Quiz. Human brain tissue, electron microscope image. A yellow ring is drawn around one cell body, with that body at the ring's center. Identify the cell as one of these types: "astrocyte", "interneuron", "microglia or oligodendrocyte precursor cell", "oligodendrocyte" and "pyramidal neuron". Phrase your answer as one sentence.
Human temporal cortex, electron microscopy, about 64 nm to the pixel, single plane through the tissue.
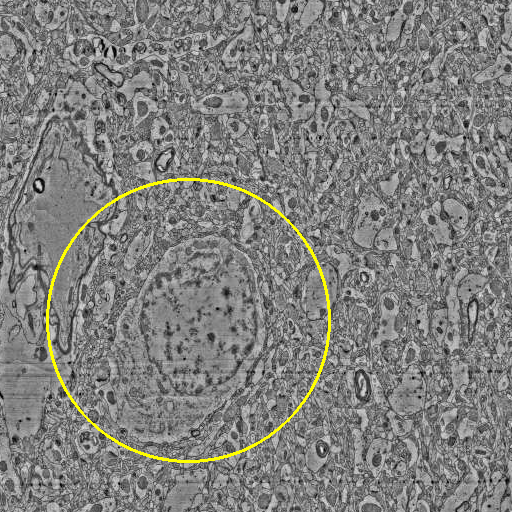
At the center of the ring sits an interneuron.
